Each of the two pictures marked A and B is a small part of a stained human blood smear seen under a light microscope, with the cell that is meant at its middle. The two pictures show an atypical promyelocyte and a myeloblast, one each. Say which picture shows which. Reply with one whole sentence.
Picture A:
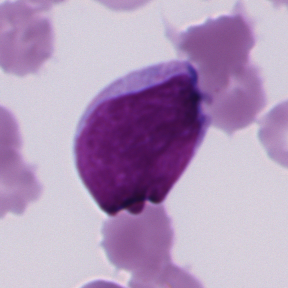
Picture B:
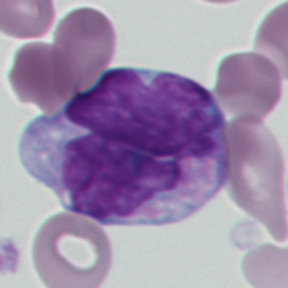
Picture A shows a myeloblast and picture B shows an atypical promyelocyte.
